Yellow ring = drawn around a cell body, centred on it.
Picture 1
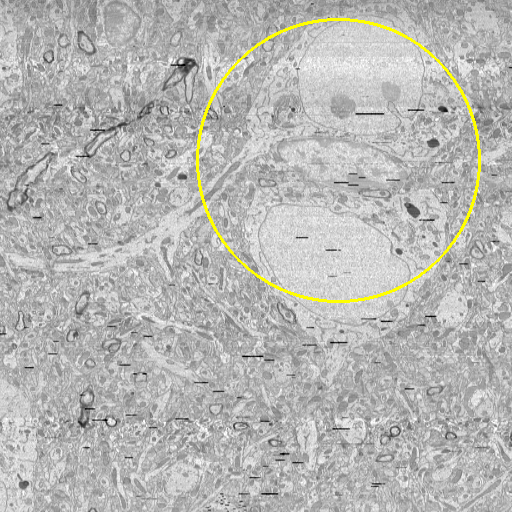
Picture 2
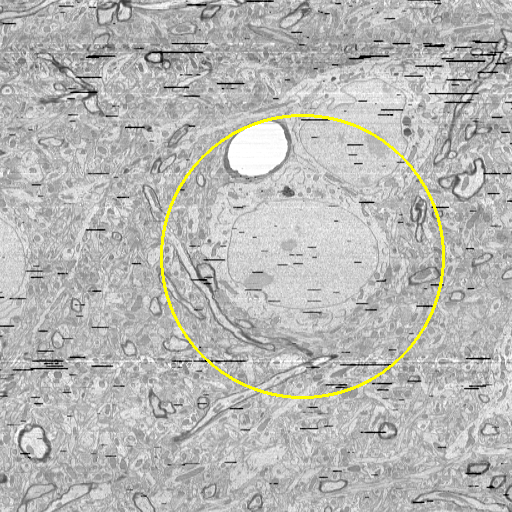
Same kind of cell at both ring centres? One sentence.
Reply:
No, they are two kinds of cell.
